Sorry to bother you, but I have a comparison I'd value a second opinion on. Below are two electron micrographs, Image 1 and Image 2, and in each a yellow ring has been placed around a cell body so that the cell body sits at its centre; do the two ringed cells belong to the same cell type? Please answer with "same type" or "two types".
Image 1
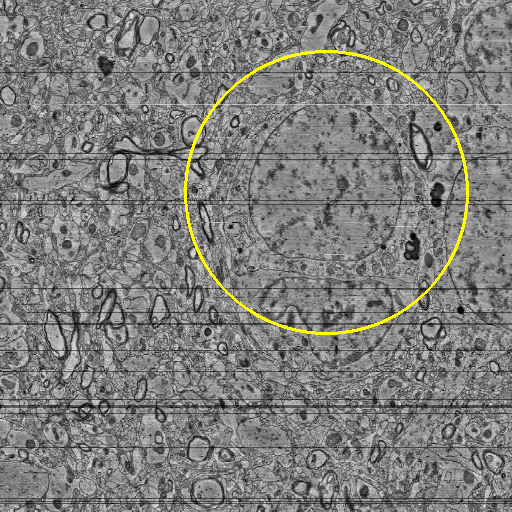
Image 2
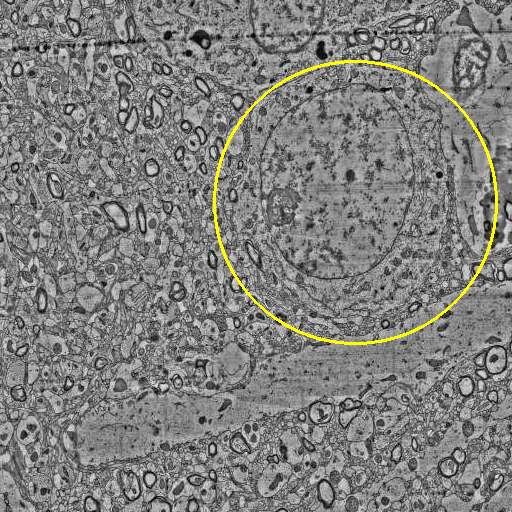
same type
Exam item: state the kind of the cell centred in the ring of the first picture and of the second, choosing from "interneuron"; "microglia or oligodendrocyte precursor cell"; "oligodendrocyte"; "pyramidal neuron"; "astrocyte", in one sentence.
In the first picture and in the second, the ring is centred on a pyramidal neuron.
